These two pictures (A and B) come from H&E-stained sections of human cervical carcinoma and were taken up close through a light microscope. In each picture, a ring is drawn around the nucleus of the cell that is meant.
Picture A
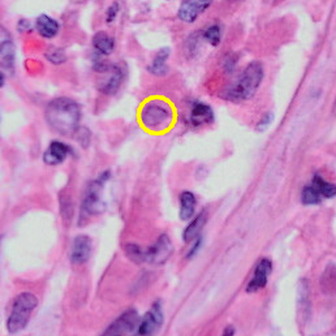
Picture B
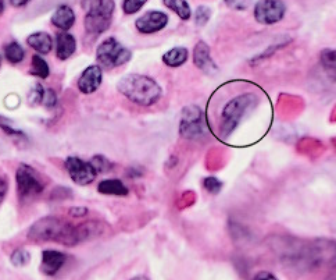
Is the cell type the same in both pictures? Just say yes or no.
no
